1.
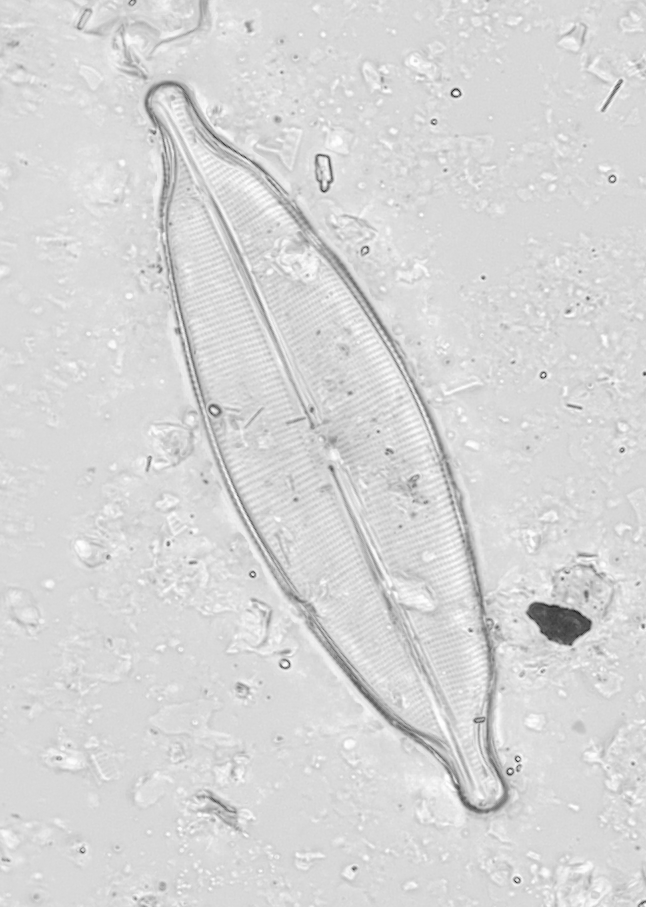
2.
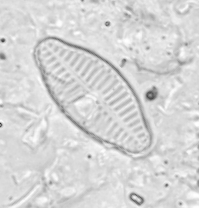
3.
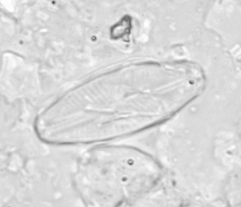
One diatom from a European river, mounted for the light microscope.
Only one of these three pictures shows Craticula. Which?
Picture 1.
